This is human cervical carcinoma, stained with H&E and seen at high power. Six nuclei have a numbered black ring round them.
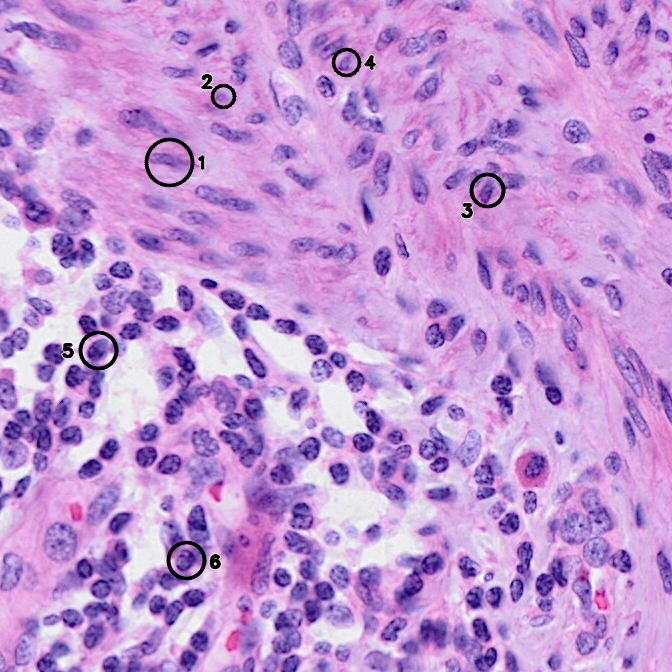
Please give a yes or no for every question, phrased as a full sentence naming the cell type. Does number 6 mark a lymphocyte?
Yes, the cell carrying label 6 is a lymphocyte.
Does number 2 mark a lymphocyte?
No, cell 2 does not represent a lymphocyte; it represents a smooth muscle cell.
